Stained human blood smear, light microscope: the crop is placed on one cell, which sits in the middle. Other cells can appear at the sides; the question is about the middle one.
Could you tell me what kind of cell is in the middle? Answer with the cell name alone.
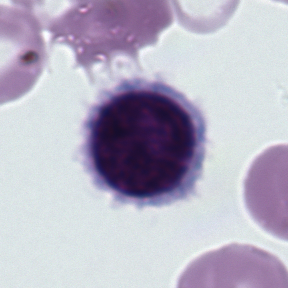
hairy cell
